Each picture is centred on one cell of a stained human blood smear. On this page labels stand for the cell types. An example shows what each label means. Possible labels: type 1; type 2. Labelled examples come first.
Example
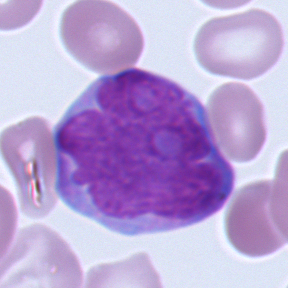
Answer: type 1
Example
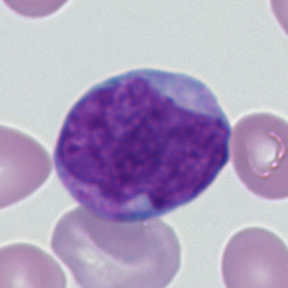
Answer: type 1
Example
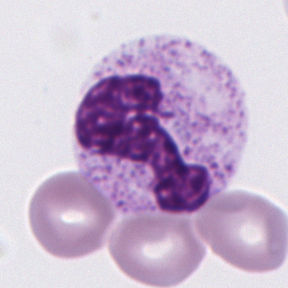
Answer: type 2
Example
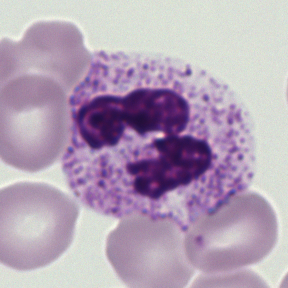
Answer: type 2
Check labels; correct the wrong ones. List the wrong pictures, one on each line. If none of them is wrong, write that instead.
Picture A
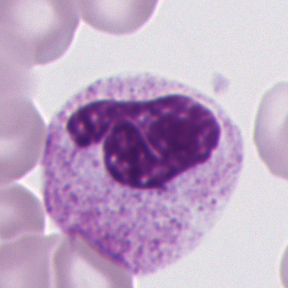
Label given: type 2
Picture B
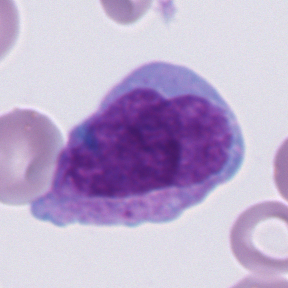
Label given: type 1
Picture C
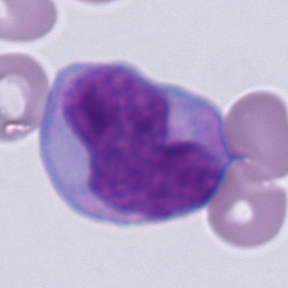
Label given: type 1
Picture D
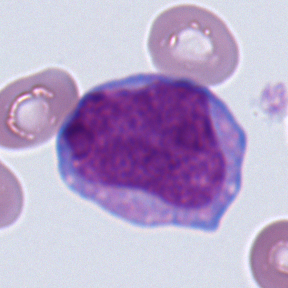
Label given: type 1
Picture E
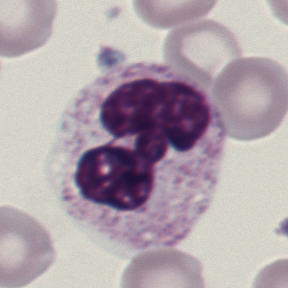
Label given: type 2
Nothing to fix; every label fits.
